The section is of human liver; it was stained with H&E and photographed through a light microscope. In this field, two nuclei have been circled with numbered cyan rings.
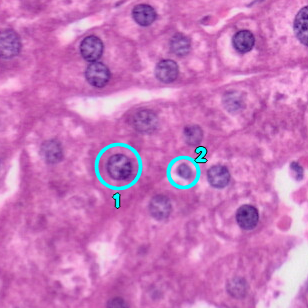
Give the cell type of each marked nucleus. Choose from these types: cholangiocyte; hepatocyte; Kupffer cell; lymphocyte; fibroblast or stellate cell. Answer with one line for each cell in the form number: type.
1: hepatocyte
2: lymphocyte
